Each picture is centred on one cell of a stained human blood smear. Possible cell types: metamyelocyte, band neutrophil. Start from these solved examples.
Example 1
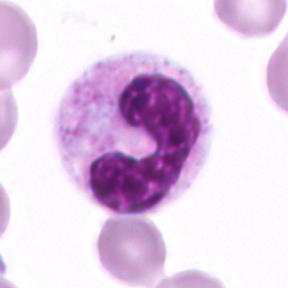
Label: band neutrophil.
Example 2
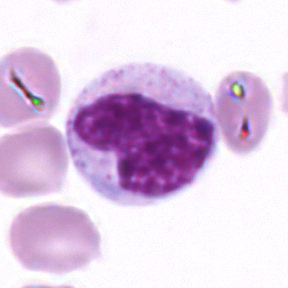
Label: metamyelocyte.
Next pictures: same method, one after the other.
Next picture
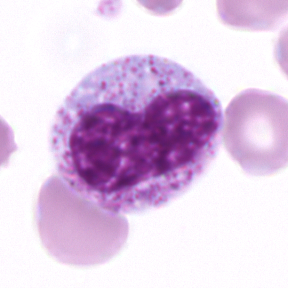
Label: band neutrophil.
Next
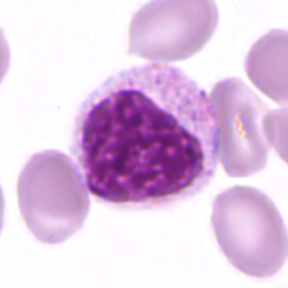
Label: metamyelocyte.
